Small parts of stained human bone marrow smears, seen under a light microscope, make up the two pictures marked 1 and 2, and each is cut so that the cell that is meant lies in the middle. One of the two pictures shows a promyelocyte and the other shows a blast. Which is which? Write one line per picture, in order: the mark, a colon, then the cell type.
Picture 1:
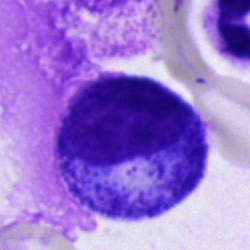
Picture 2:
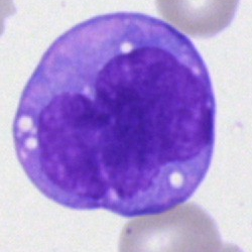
1: promyelocyte
2: blast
